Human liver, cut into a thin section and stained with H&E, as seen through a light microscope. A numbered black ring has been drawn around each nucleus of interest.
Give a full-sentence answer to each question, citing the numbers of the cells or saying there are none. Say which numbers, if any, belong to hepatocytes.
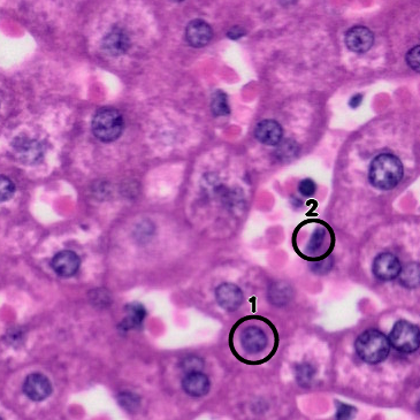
Cell 1 is a hepatocyte, which is true of none of the other numbered cells.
